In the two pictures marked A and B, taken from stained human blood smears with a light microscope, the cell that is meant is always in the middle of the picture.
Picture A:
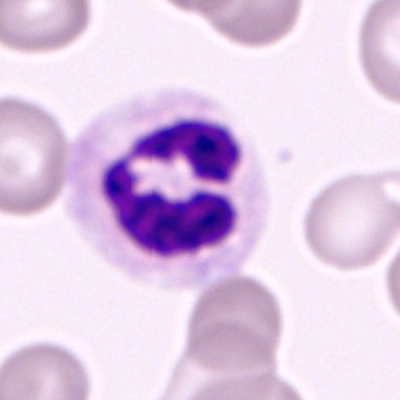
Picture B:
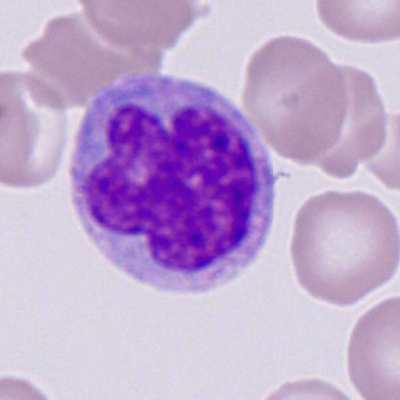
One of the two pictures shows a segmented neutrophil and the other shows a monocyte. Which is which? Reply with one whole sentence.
Picture A shows a segmented neutrophil and picture B shows a monocyte.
